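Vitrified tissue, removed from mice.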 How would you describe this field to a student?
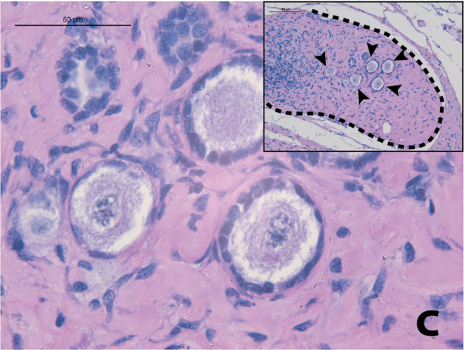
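Several round follicles sit in a dense pink fibrous stroma scattered with elongated dark nuclei. Each follicle has a central rounded body with a finely speckled interior, enclosed by a bright, pale, refractile ring, and this in turn is surrounded by a single layer of flattened to cuboidal cells whose dark purple nuclei form a beaded rim. Some neighbouring rounded profiles show clusters of cells with dark nuclei cut tangentially. The inset at low power shows a tissue piece outlined by a dashed line, with a handful of these small round follicles dotted through a cellular stroma.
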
